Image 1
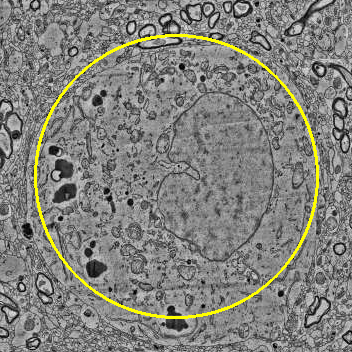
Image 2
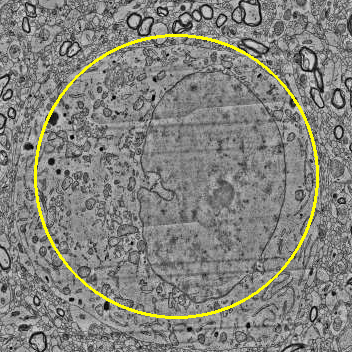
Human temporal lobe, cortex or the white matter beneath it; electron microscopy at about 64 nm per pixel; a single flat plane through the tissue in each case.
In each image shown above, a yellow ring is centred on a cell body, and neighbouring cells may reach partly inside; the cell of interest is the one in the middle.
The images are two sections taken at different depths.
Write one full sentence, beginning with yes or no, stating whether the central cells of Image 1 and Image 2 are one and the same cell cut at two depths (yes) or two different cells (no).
Yes, these two rings point to one cell rather than two.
